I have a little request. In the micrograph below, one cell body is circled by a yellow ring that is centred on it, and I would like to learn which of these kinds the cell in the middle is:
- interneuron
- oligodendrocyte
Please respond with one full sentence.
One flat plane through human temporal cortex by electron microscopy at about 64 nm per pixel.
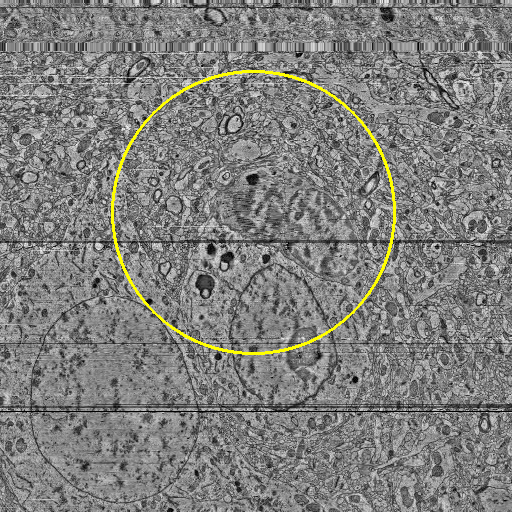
The cell sitting in the middle of the yellow ring in the micrograph is an oligodendrocyte.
